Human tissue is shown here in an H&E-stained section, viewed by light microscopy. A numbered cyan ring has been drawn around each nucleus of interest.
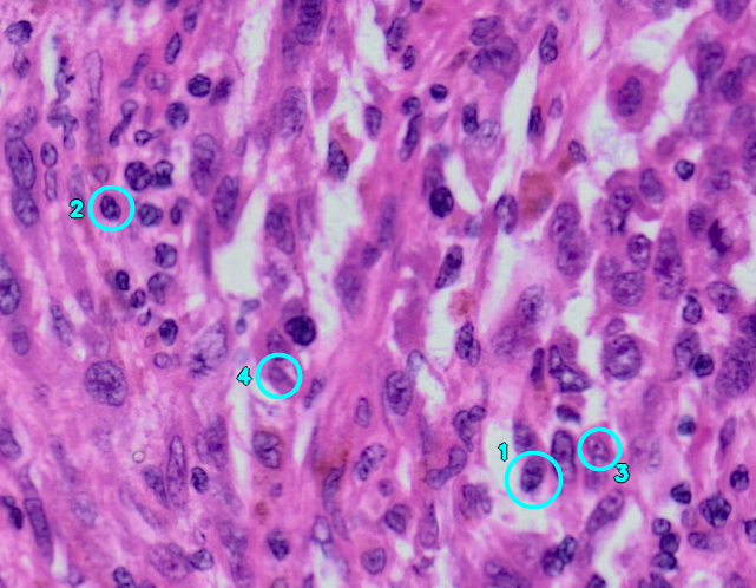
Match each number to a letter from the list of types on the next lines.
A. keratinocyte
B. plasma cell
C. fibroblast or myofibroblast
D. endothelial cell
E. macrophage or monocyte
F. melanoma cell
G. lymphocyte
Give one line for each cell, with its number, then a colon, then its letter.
1: F
2: G
3: F
4: F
